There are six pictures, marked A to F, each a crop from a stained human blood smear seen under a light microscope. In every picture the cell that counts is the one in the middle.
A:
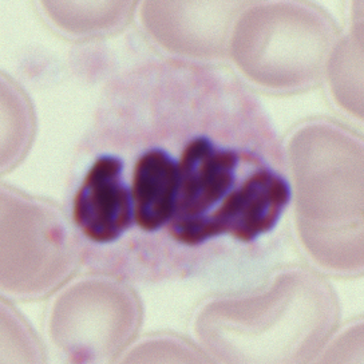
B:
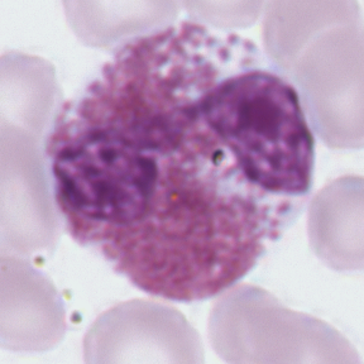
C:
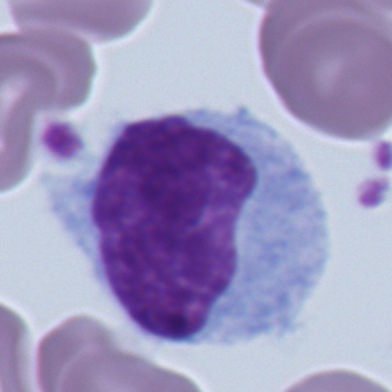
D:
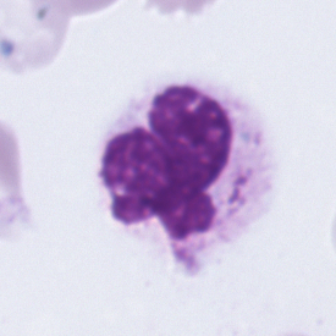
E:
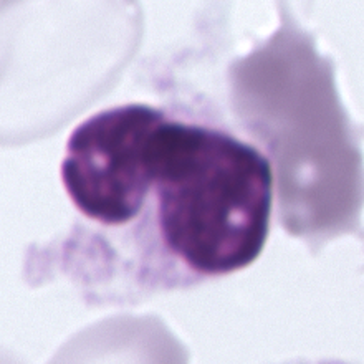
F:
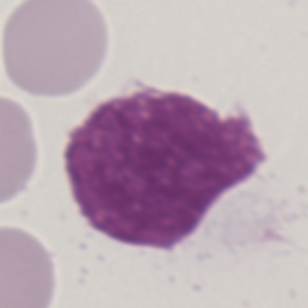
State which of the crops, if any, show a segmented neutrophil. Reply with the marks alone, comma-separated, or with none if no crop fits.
A, D, E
